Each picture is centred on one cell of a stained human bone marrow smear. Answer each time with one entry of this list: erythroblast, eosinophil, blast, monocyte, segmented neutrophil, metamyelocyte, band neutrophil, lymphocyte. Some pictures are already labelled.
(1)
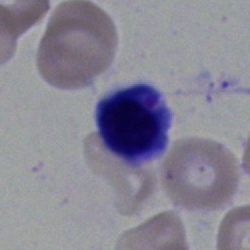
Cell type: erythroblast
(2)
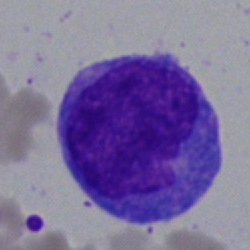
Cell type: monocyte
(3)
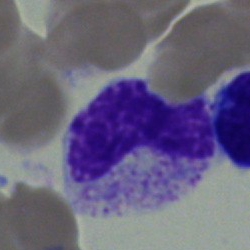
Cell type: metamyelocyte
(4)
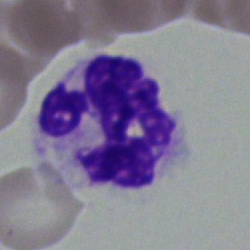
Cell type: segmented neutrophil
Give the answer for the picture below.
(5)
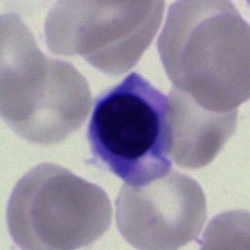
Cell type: erythroblast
